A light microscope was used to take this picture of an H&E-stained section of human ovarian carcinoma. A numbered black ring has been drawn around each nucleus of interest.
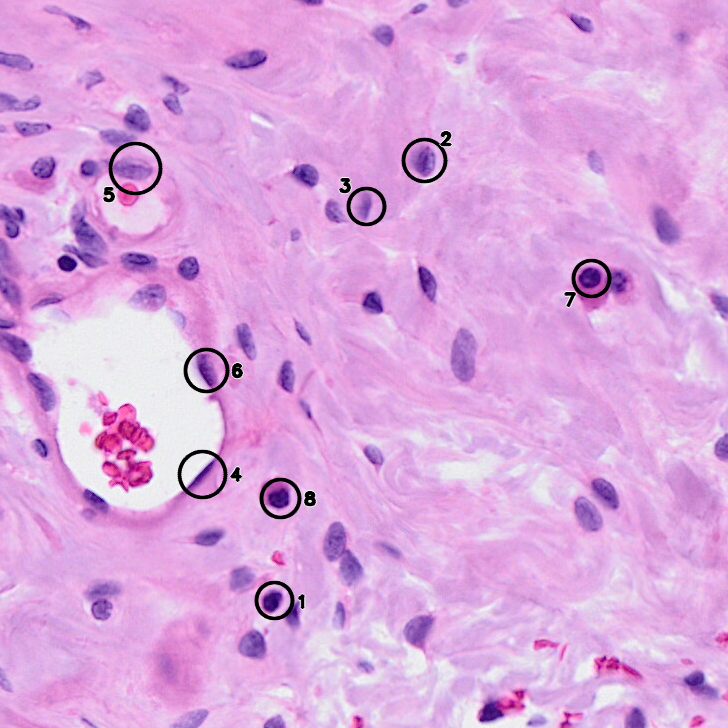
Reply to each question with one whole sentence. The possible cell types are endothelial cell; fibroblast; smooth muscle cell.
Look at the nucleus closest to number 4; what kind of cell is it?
Closest to number 4 lies the nucleus of a fibroblast.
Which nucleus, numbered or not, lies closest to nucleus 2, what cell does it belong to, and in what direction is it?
The nearest nucleus is that of a fibroblast and lies below and to the left of nucleus 2.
